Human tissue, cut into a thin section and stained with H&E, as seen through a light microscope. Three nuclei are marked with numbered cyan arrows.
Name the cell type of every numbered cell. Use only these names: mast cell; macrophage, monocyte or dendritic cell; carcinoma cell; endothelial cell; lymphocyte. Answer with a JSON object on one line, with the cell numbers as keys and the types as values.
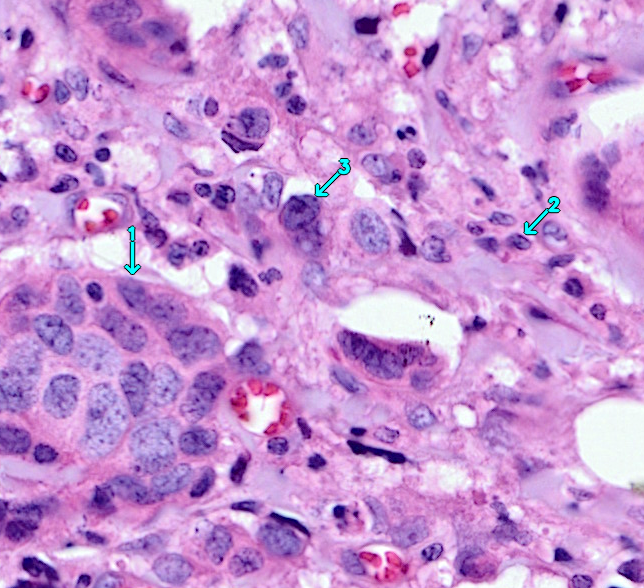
{"1": "carcinoma cell", "2": "mast cell", "3": "carcinoma cell"}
